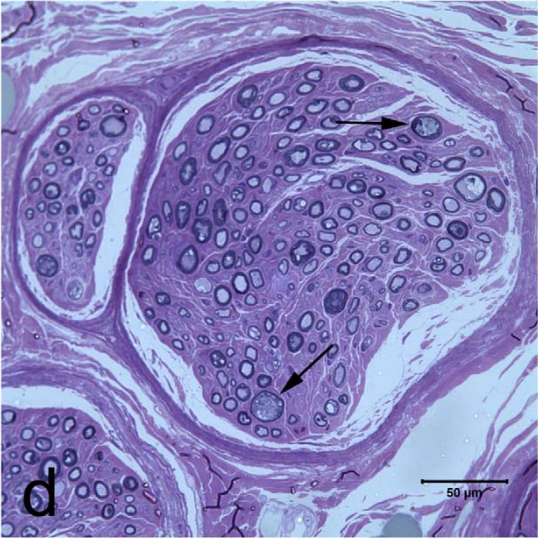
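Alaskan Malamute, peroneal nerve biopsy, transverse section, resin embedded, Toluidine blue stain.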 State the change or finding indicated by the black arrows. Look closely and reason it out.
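The marked fibers contain dark granular debris within the myelin ring. The marked profiles differ from neighbouring fibers with clear pale axons. So: axonal degeneration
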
